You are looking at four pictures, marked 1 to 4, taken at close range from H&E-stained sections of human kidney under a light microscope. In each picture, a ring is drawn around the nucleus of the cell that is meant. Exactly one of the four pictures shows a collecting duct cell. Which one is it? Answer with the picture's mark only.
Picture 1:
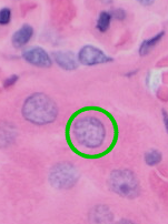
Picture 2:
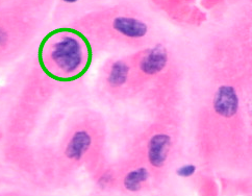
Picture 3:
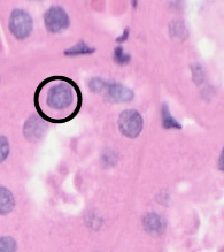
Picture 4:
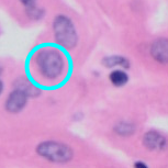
4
